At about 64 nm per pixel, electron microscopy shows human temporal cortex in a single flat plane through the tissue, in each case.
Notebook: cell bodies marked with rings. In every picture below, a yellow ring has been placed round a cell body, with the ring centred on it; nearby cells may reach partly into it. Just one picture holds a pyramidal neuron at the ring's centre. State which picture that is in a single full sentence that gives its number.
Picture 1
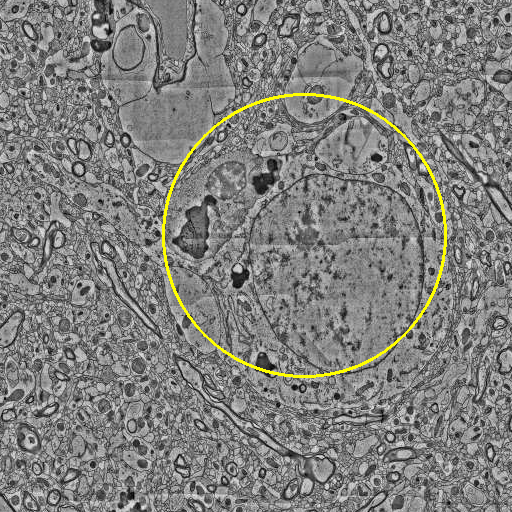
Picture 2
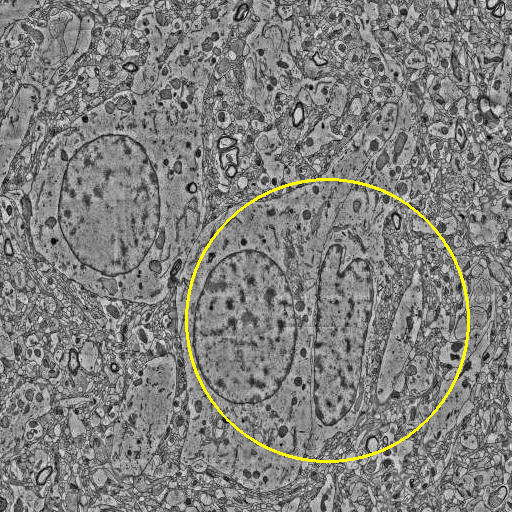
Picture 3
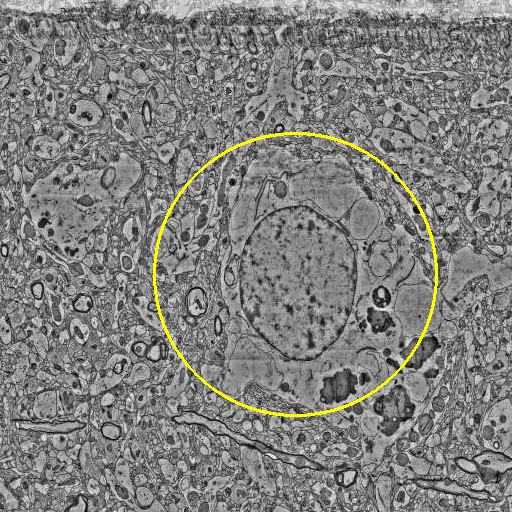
It is picture 1 whose ring has the wanted cell right at its centre.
